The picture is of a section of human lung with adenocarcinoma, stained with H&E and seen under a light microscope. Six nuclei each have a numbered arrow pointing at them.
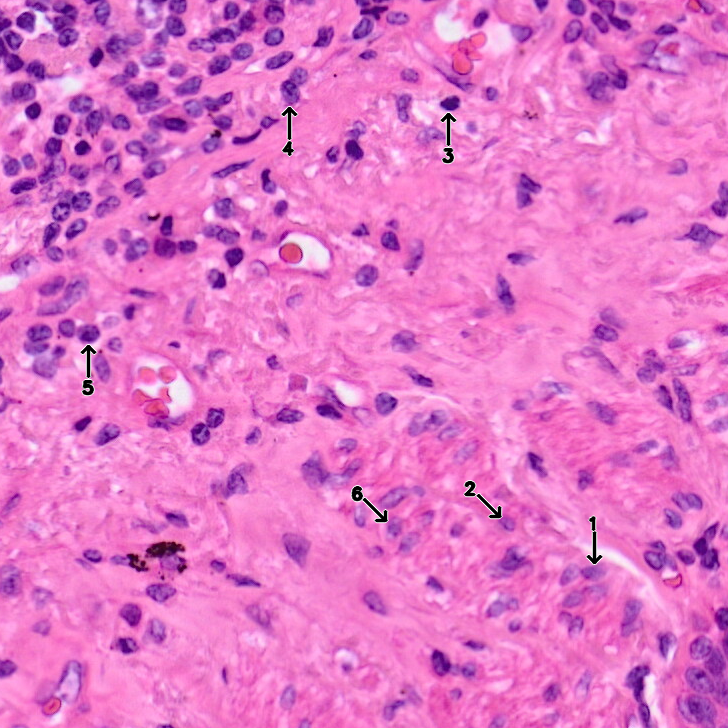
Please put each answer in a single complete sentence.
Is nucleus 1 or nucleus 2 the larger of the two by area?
Of the two, number 1 is bigger and takes up about 2 times the area of number 2.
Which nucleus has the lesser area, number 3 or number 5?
The smaller nucleus is 3, and 5 covers roughly 1.5 times its area.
